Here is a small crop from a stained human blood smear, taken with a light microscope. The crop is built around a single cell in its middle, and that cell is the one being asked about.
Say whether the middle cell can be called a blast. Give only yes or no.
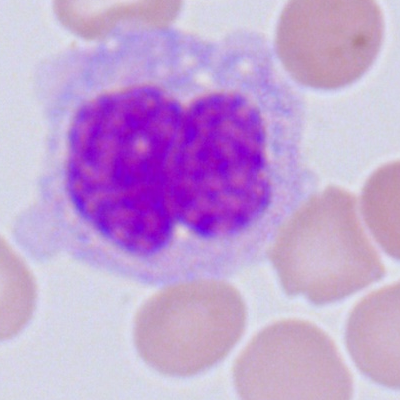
no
